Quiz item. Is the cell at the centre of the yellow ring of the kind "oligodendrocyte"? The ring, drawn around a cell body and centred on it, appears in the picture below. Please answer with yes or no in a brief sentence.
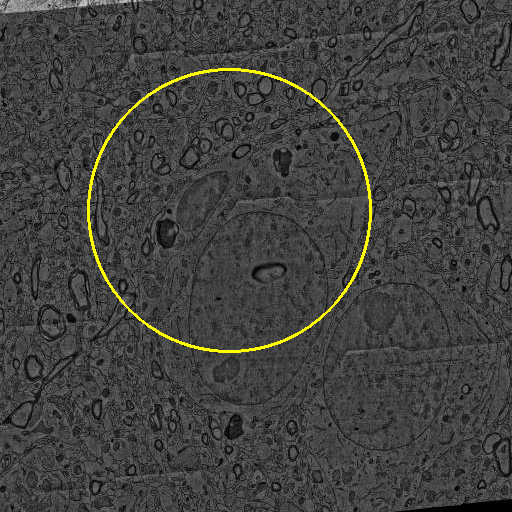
Yes, it is that kind of cell.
